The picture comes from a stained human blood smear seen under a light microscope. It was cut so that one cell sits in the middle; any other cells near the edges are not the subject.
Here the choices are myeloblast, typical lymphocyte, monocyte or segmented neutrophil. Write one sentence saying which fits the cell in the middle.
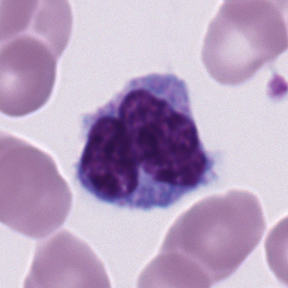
The cell positioned in the middle of the field is a monocyte.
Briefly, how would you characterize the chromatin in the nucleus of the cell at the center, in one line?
Thanks for asking; the chromatin is coarsely clumped.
